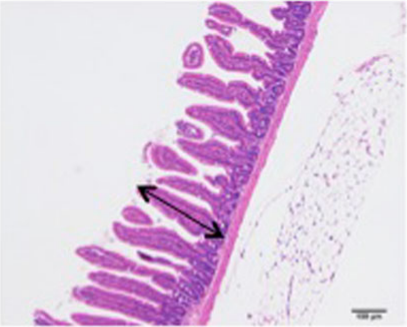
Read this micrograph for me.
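A section of the small intestinal wall shows slender, finger-like villi projecting into the lumen from a mucosa whose base holds a dense band of crypts. The crypts form a closely packed, darkly purple zone just above a thin, bright pink band of smooth muscle. Outside the muscle lies pale, loose connective tissue with scattered small nuclei. The villi are of varying height and mostly narrow.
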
